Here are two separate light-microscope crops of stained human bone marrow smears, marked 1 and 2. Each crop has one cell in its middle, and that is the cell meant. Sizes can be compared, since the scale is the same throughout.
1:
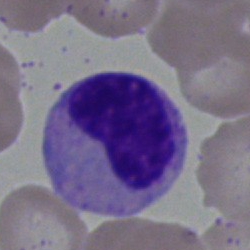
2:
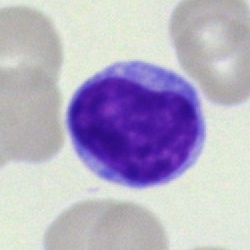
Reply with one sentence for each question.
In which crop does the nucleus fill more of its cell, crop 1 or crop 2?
It is the cell in crop 2 that is filled more by its nucleus.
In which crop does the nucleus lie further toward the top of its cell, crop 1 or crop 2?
Seen within its cell, the nucleus in crop 1 lies further toward the top.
